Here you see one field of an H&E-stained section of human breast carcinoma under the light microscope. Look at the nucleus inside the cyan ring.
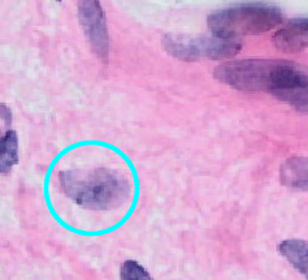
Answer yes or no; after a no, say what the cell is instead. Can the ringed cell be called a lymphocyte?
No, it is a fibroblast.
